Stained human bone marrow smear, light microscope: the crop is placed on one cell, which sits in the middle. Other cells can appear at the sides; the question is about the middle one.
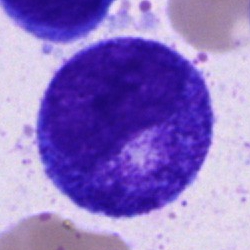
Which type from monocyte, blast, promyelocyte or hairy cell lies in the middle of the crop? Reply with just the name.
promyelocyte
